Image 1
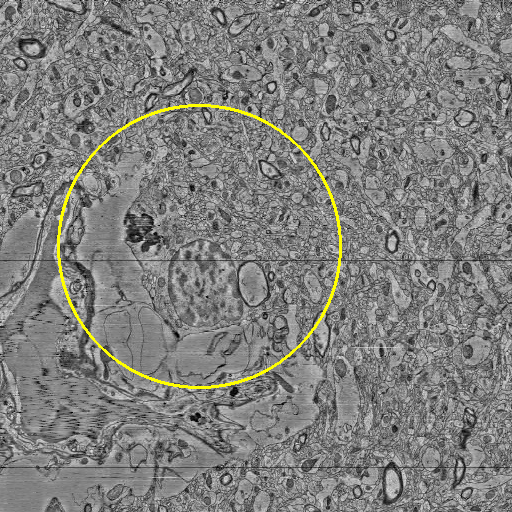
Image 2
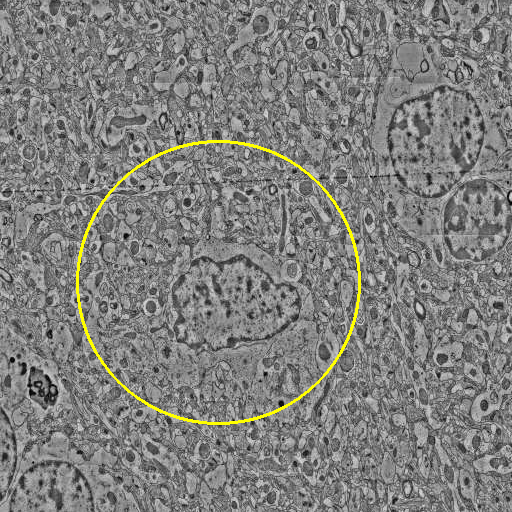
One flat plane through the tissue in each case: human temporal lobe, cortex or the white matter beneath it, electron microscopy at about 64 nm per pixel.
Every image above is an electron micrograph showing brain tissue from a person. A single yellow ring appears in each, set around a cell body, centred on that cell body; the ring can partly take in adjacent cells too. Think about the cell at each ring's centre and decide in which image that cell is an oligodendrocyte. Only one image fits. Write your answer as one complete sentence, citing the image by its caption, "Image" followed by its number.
Image 1 is the one whose ringed central cell fits the description.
